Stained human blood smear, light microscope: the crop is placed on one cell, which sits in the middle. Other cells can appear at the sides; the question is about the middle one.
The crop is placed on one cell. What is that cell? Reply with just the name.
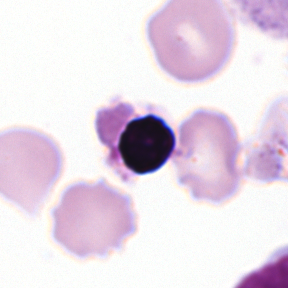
normoblast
